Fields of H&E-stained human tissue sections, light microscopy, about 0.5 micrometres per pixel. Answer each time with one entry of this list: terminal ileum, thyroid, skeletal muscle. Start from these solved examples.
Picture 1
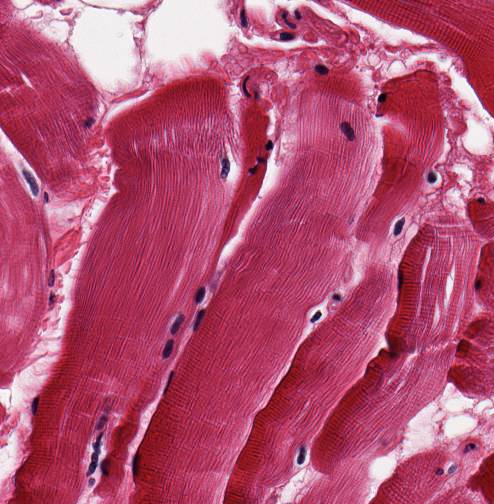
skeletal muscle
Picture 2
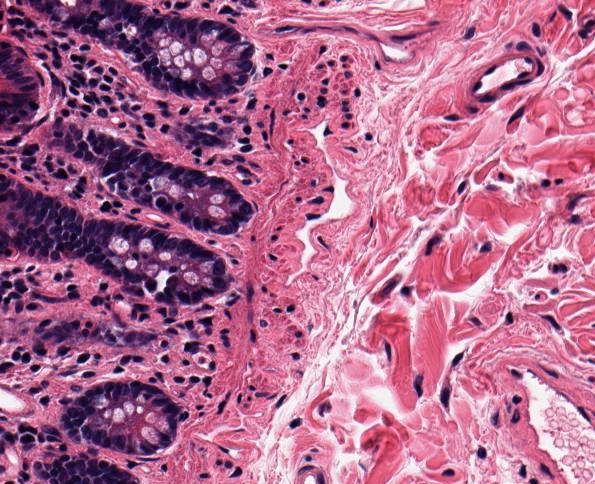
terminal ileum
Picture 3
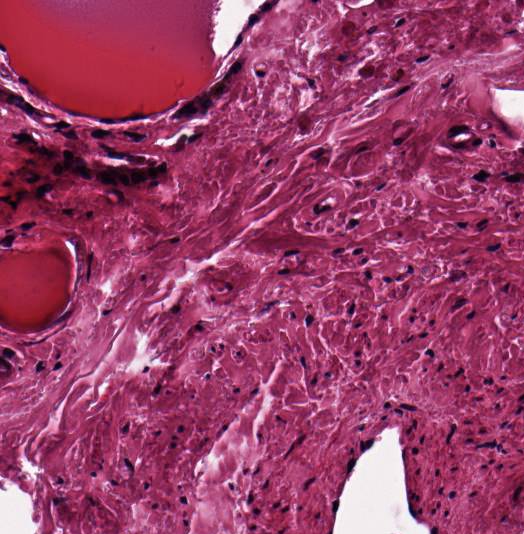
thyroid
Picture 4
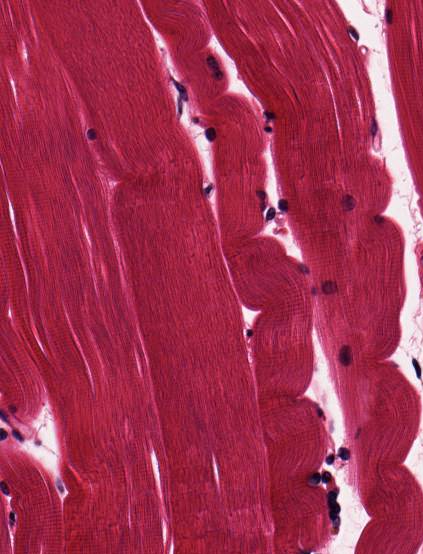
skeletal muscle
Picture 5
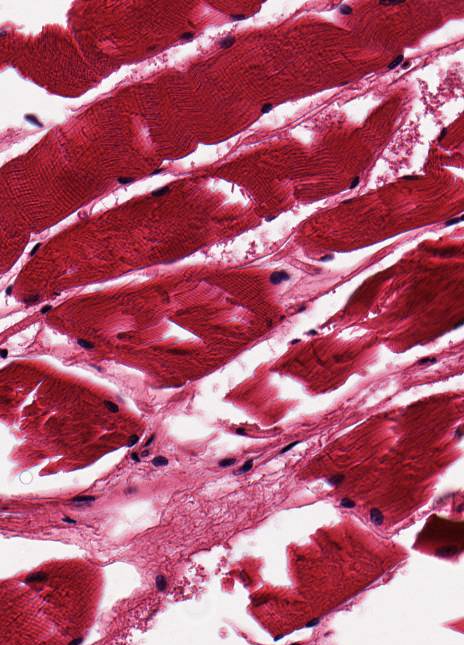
skeletal muscle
